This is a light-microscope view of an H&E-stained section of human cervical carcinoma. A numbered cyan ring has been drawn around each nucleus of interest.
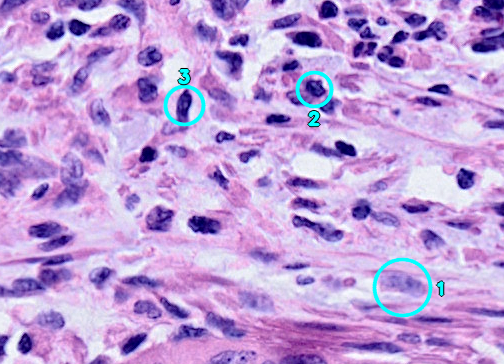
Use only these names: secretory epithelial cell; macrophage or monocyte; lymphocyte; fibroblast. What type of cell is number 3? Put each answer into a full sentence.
What the number 3 marks in this field is a lymphocyte.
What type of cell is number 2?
Cell 2, as marked in the section, is a lymphocyte.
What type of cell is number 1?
The cell identified by number 1 is a fibroblast.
